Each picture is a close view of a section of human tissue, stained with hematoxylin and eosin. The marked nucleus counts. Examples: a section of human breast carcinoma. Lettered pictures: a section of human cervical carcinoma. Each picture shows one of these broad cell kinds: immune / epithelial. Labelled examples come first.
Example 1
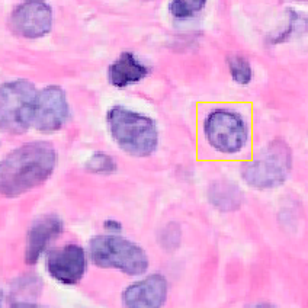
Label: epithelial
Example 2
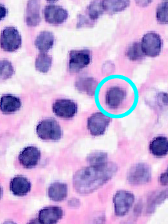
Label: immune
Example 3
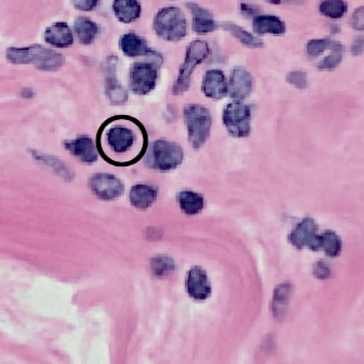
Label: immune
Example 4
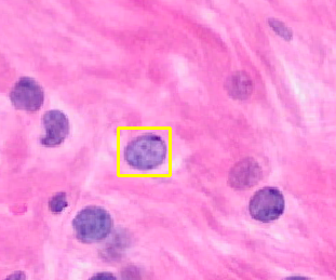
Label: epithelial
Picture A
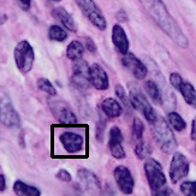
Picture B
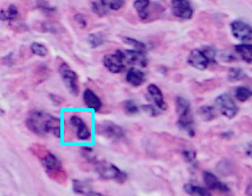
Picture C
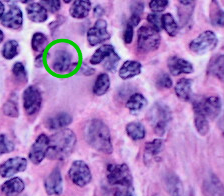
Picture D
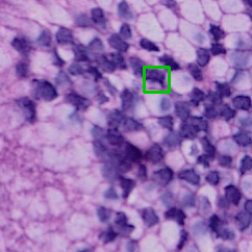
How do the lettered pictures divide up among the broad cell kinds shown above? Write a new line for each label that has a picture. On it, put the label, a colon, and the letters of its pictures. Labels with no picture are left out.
immune: A, B, C
epithelial: D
